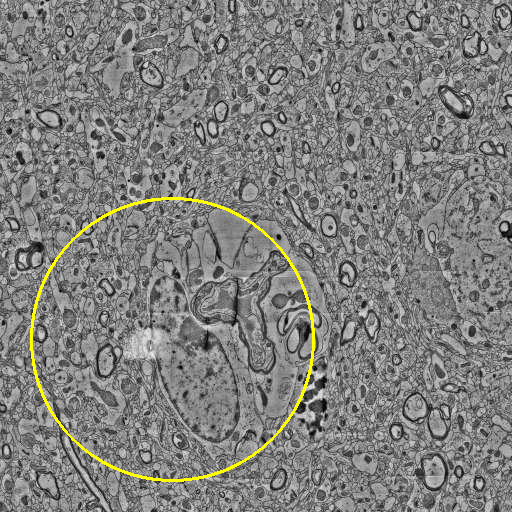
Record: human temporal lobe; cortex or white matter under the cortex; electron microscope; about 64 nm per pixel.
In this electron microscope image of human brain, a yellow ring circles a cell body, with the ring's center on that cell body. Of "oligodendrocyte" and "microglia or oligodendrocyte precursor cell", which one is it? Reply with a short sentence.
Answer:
It is a microglial cell or oligodendrocyte precursor cell at the center of the ring.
